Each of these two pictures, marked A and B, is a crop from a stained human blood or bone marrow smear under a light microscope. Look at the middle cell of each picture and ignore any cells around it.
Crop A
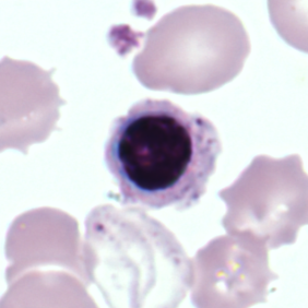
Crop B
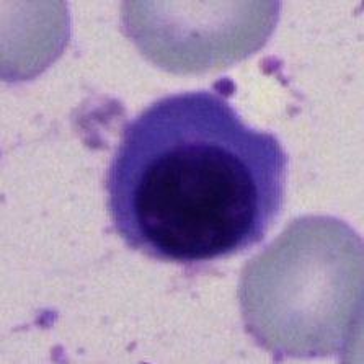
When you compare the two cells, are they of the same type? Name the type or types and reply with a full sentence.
Yes, both crops have erythroblasts as their central cells.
